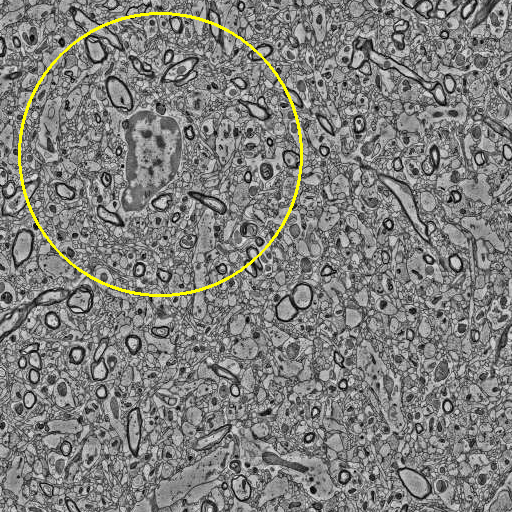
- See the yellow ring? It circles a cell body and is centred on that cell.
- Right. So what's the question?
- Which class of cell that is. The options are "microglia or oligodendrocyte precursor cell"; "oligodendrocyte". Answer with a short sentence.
The centre of the ring holds a microglial cell or oligodendrocyte precursor cell.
